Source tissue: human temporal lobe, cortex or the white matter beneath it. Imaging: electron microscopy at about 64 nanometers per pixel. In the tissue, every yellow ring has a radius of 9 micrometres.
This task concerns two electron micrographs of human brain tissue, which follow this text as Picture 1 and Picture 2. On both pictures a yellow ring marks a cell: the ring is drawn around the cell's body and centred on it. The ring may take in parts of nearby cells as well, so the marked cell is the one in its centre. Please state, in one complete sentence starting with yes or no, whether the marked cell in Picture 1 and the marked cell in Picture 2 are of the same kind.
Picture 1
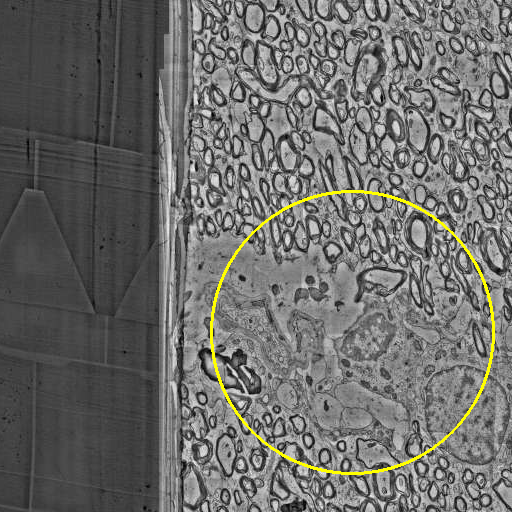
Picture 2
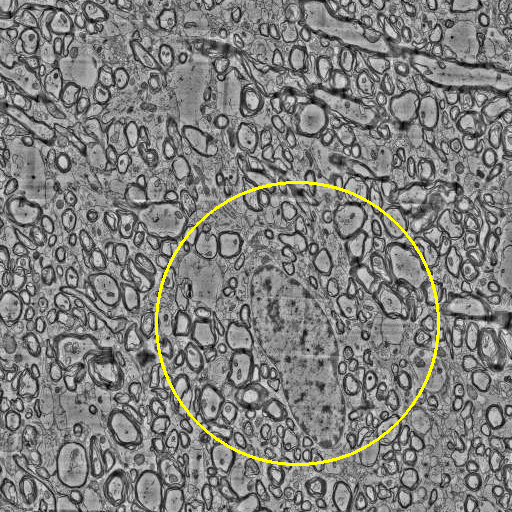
No, the marked cells in the two pictures are of two kinds.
